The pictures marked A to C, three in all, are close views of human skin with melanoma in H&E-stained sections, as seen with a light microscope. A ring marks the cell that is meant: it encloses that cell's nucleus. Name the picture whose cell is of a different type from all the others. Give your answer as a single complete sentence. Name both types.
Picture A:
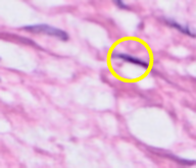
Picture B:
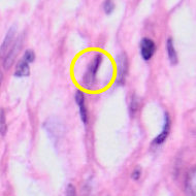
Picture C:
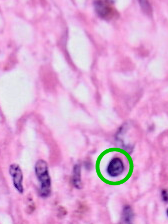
Unlike the rest, which show “fibroblasts or myofibroblasts”, picture C shows a lymphocyte.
